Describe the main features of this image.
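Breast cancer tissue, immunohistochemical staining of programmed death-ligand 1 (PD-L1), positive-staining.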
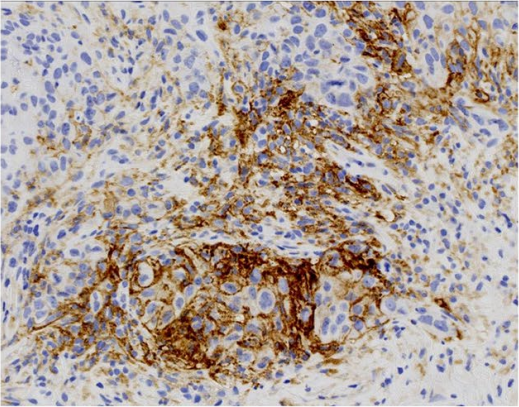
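This is invasive carcinoma tissue in which clusters and nests of tumour cells lie within a fibrous stroma. The nuclei vary in size and shape. The brown staining is patchy, densest in several irregular cell groups, with weaker or absent staining in adjacent areas. Between the groups run strands of pale stroma containing elongated spindle-shaped nuclei. Some small cells scattered within the stroma also take up the brown colour.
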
